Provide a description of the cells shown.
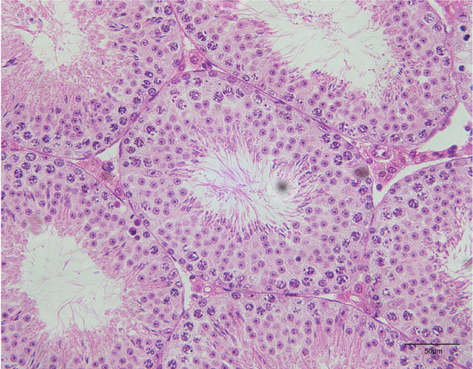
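Cross-sections of seminiferous tubules of the testis, lined by a thick seminiferous epithelium of spermatogenetic cells. Each tubule is bounded by a thin pink wall with flattened nuclei, and narrow interstitial spaces lie between tubules. Within the epithelium, round cells with purple-blue nuclei are stacked in many compact layers from the base toward the centre. Toward the lumen, elongated dark heads and pink, wispy tails of late germ cells form a radiating bundle filling the central lumen. The cells are tightly packed, with no evident gaps, and the epithelium looks continuous and orderly around each tubule.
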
